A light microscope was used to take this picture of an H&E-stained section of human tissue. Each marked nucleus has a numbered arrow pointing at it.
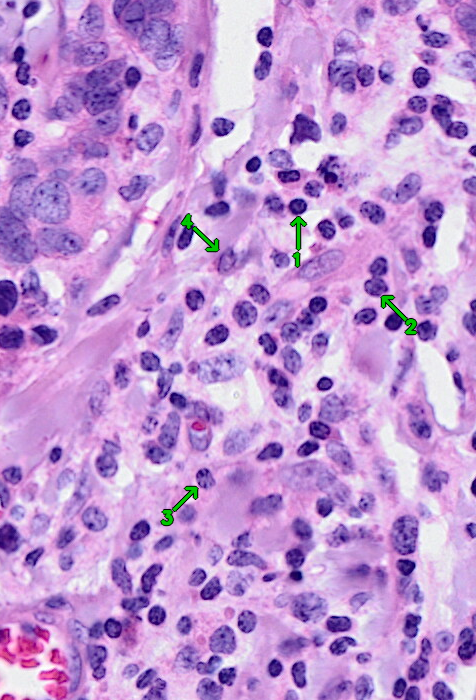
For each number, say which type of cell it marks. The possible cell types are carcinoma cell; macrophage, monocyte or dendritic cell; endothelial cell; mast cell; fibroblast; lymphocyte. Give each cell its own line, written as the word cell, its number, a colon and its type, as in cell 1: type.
cell 1: lymphocyte
cell 2: lymphocyte
cell 3: lymphocyte
cell 4: macrophage, monocyte or dendritic cell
